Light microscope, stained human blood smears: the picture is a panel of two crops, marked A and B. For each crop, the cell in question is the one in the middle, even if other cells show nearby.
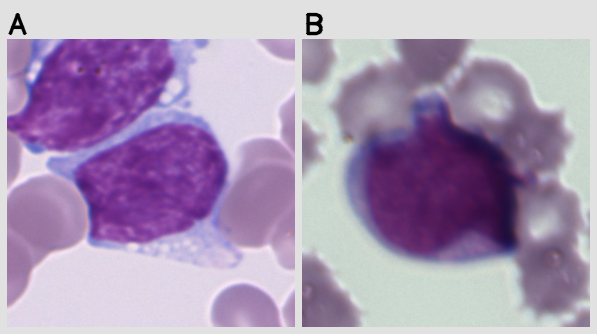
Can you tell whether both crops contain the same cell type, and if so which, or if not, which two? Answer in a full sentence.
Yes, that holds, both crops show blasts.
